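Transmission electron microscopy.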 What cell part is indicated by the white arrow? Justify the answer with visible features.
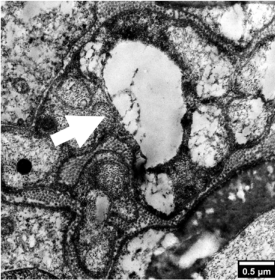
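The arrow points to a pale, smooth, homogeneous inclusion with fissures. It is not bounded by a double membrane with cristae.
Conclusion: lipid droplets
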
